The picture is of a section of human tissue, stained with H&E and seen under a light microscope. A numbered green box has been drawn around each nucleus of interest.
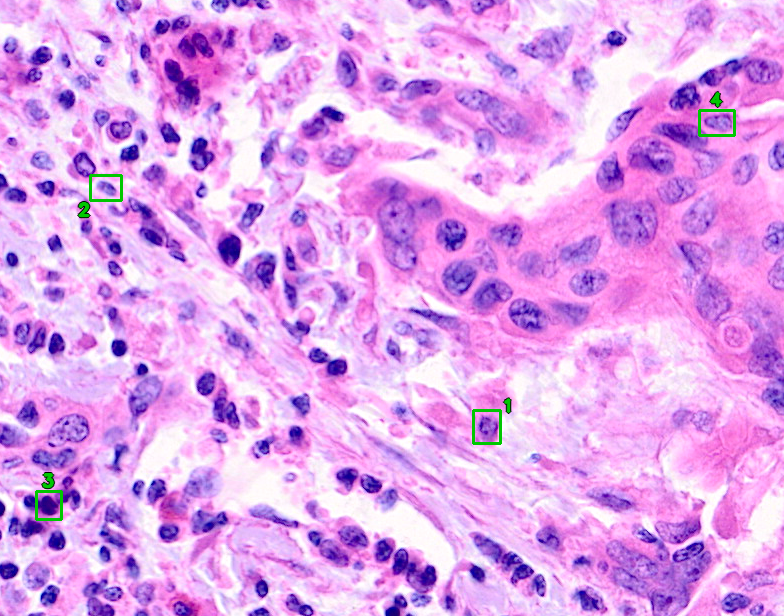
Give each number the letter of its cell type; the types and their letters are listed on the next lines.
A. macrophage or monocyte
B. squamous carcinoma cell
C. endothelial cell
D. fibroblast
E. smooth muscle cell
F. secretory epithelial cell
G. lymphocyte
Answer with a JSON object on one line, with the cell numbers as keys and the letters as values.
{"1": "A", "2": "G", "3": "G", "4": "B"}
